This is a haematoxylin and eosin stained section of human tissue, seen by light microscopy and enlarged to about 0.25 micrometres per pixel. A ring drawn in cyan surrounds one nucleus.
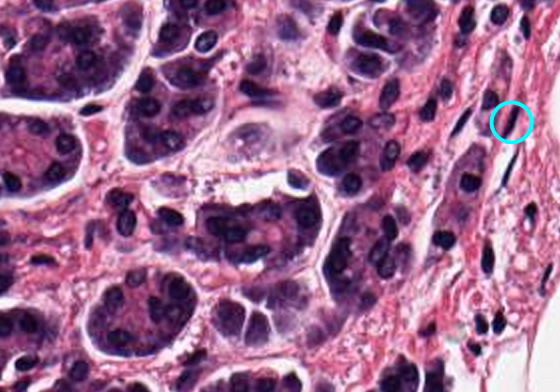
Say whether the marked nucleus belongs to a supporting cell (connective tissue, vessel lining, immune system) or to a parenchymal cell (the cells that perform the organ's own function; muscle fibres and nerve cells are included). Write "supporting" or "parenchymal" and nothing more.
supporting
